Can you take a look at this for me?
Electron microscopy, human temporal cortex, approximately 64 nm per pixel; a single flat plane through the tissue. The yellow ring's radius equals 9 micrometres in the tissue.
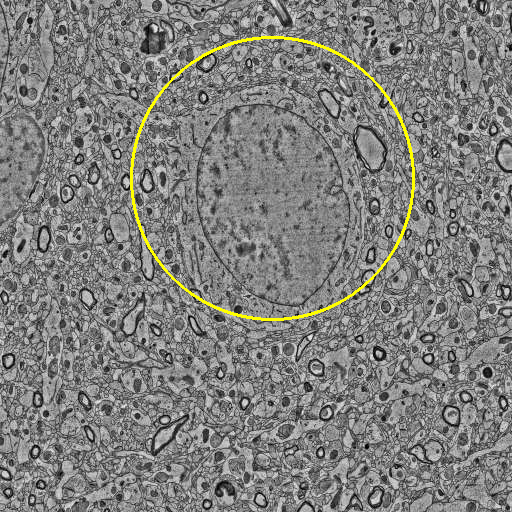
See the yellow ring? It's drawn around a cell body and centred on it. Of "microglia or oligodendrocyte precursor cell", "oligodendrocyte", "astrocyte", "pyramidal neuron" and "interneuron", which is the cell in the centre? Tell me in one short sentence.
The one in the centre is a pyramidal neuron.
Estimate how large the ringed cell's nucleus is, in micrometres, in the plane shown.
Approximately 13 micrometres long and 10 micrometres wide, in this plane.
